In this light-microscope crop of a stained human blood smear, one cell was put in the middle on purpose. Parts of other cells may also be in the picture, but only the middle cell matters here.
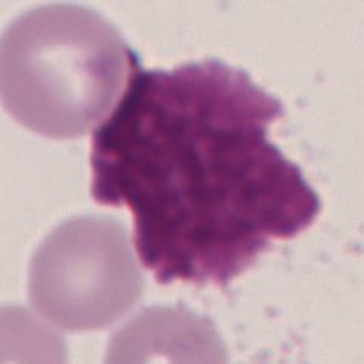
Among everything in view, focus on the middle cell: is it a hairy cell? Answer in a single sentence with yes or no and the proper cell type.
No, the centre cell is not a hairy cell but a smudge cell.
